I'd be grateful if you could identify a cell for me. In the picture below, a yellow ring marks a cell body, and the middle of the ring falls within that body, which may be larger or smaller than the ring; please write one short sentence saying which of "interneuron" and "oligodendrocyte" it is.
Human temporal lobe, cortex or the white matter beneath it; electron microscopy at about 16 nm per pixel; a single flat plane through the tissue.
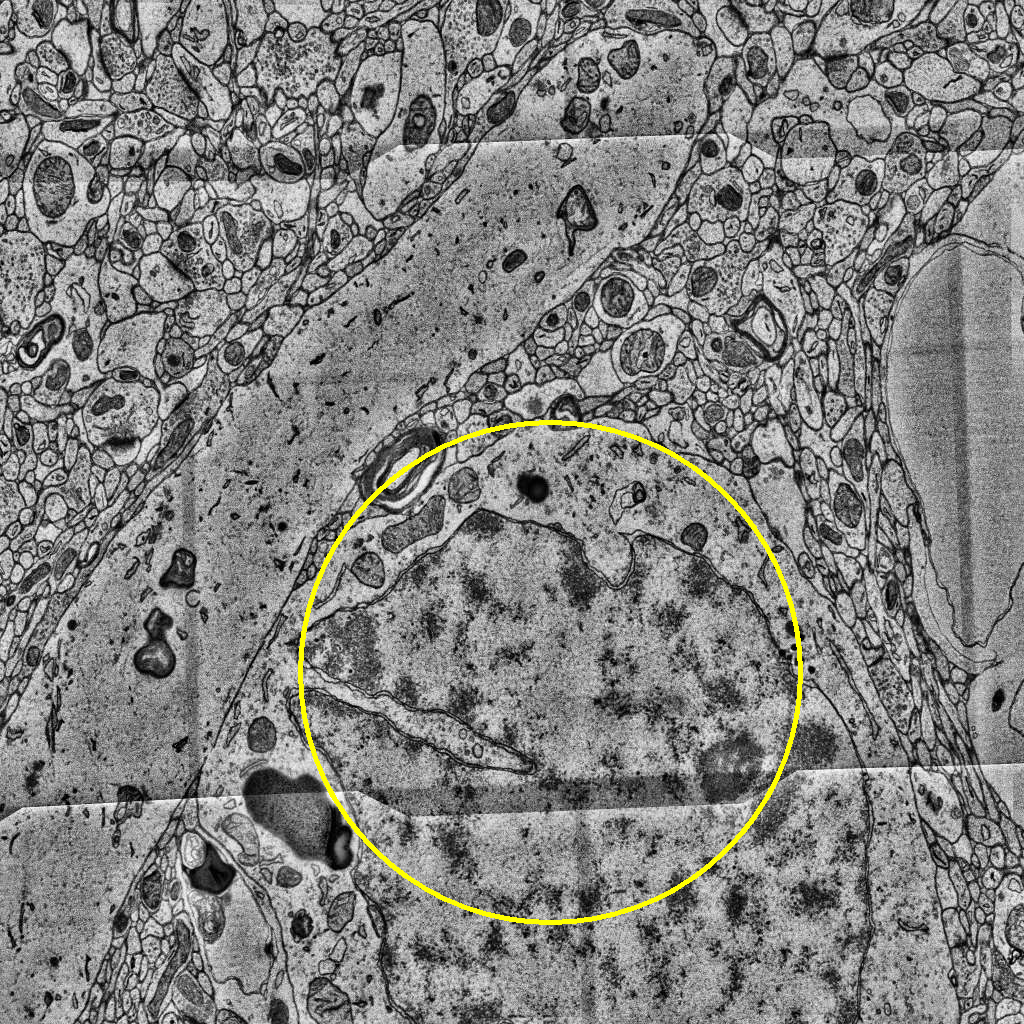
The cell under the ring's centre is an interneuron.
